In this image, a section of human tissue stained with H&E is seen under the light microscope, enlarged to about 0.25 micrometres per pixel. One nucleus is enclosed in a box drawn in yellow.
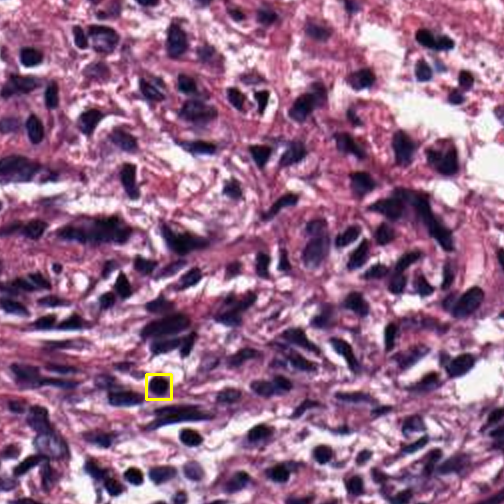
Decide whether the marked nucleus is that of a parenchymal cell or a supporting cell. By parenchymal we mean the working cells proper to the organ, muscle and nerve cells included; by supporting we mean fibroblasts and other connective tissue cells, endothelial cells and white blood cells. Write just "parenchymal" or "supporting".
supporting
